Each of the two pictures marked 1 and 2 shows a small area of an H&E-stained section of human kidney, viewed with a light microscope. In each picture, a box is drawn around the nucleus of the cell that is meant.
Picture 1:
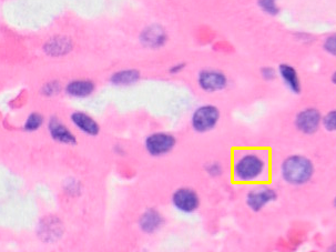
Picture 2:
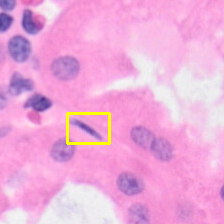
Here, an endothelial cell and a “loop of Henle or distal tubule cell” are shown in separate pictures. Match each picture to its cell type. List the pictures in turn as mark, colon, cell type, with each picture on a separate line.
1: loop of Henle or distal tubule cell
2: endothelial cell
